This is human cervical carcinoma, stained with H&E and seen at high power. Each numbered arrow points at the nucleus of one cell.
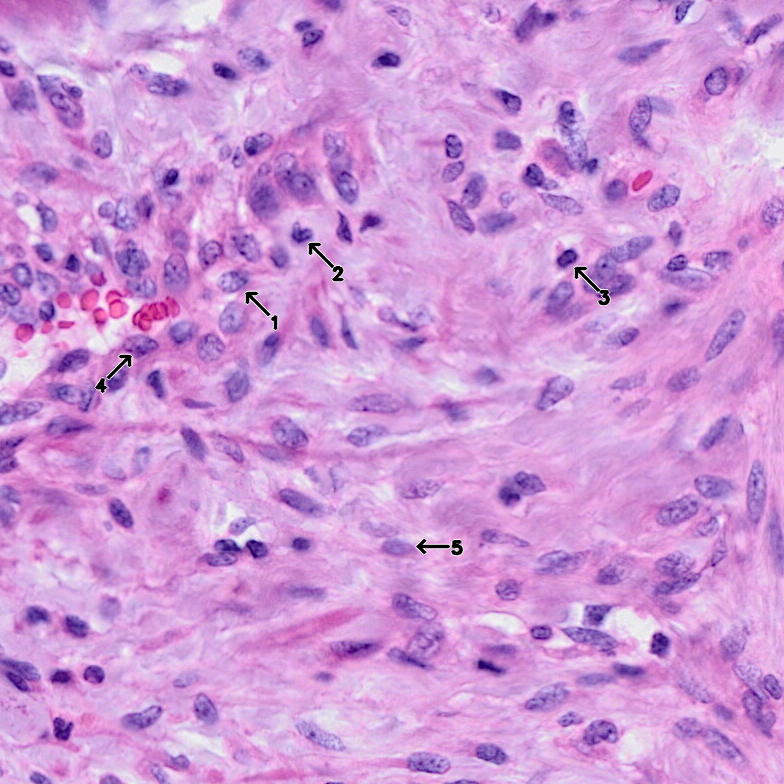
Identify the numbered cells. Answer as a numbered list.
1. endothelial cell
2. lymphocyte
3. lymphocyte
4. endothelial cell
5. fibroblast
